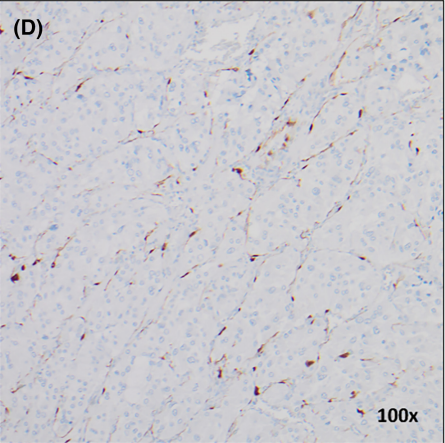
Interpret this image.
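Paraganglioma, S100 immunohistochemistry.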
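Nests of large unstained tumor cells with blue nuclei are outlined by scattered slender brown-stained sustentacular cells. These cells are spindle-shaped with thin processes and lie at the edges of the nests, tracing the septa between them.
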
